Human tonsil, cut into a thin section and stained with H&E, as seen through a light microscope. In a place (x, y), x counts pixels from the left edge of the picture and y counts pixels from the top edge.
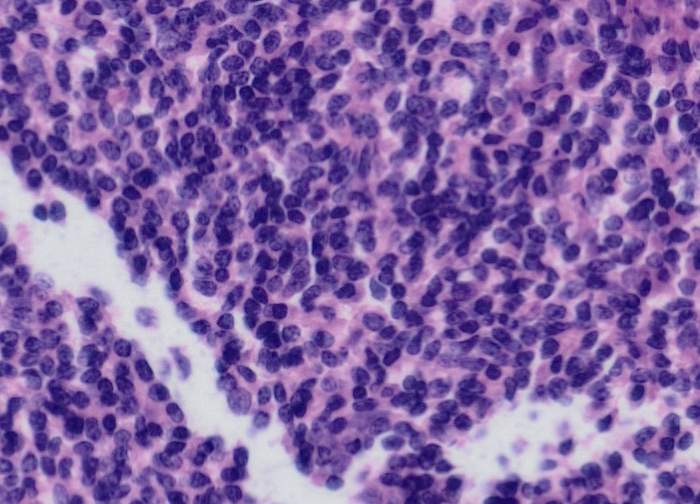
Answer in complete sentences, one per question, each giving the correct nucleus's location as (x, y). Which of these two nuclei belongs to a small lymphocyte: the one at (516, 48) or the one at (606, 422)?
The nucleus that belongs to a small lymphocyte is located at (606, 422).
